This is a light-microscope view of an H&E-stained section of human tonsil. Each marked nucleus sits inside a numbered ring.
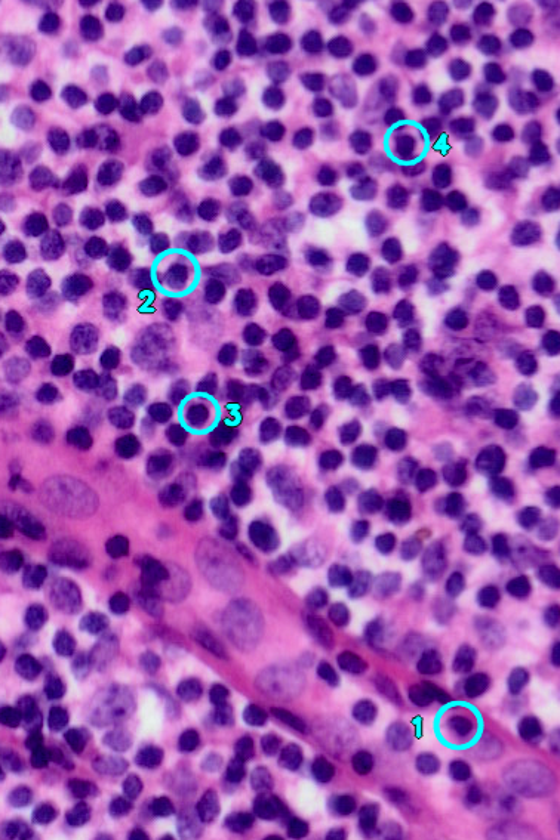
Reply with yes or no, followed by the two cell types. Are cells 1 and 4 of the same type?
No, cell 1 should be called an endothelial cell, and cell 4 should be called a small lymphocyte.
